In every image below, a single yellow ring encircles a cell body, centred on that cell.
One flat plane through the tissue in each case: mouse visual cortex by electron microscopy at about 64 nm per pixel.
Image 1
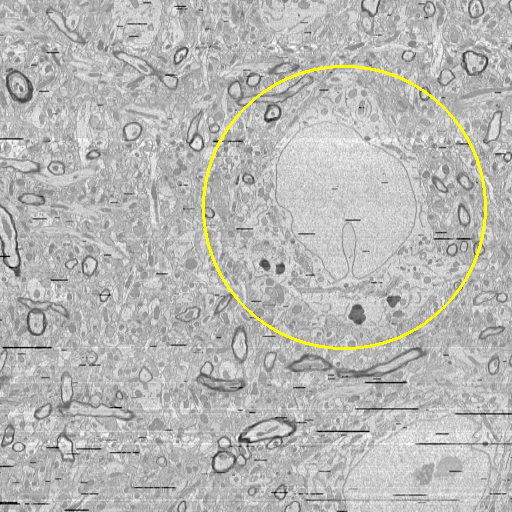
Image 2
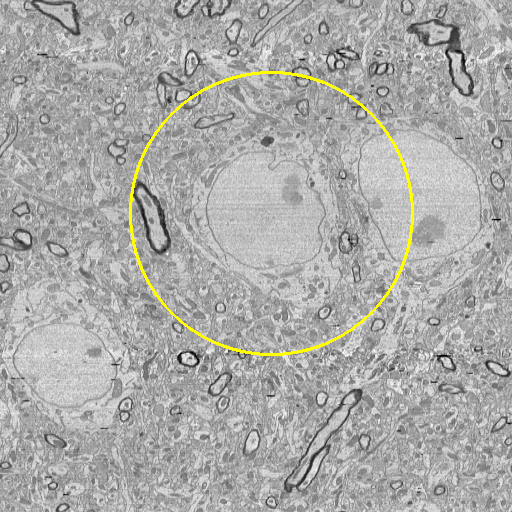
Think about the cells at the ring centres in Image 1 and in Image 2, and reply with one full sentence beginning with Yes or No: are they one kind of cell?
Yes, the cells centred in the rings of Image 1 and Image 2 are one kind of cell.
